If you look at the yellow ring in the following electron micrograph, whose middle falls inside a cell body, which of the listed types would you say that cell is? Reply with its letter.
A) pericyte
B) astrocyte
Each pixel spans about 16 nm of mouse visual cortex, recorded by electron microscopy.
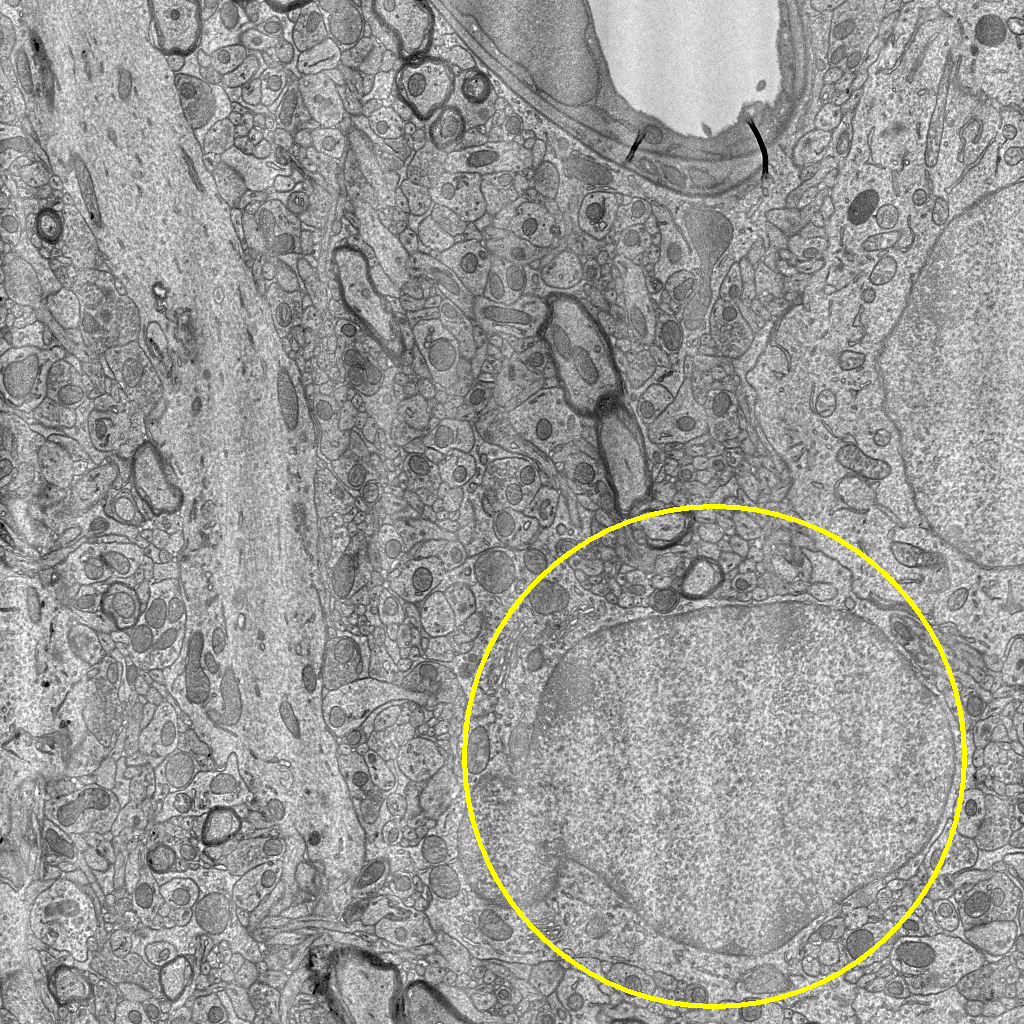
B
